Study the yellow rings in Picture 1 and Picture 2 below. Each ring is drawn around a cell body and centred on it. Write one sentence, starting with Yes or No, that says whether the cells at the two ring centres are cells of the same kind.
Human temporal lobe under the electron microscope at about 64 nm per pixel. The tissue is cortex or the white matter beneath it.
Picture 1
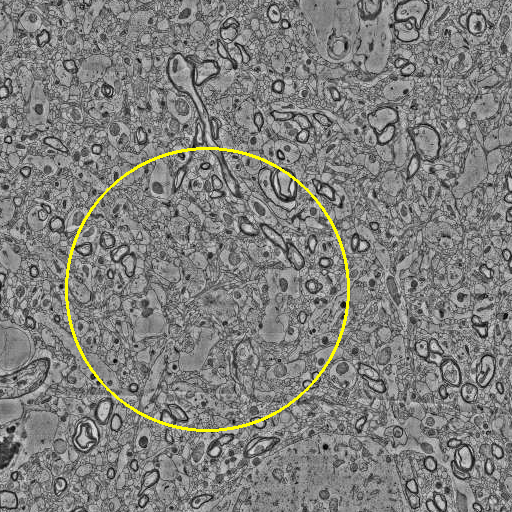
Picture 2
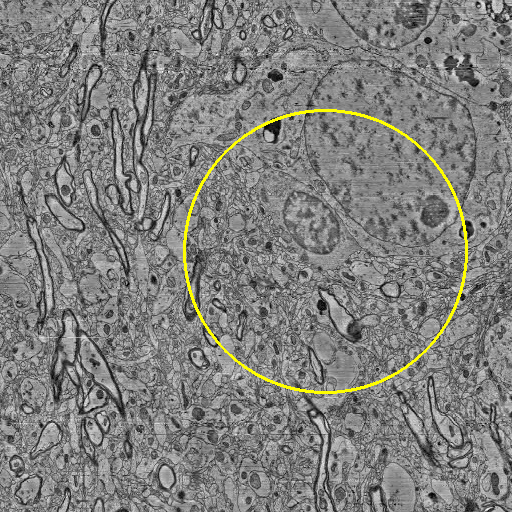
Yes, the cells at both ring centres are of the same kind.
